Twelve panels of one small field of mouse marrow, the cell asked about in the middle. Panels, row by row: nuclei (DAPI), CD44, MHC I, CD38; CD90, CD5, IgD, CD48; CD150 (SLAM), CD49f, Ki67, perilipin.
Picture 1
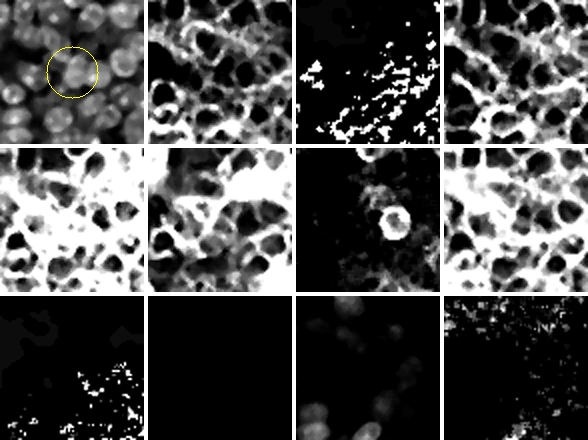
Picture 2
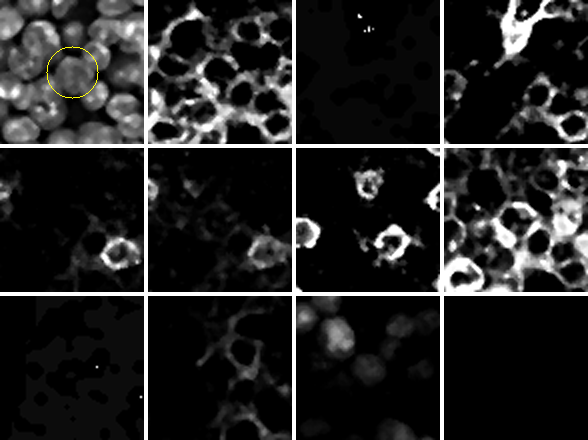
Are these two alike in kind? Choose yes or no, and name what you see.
No. First a T cell, second a capillary endothelial cell.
